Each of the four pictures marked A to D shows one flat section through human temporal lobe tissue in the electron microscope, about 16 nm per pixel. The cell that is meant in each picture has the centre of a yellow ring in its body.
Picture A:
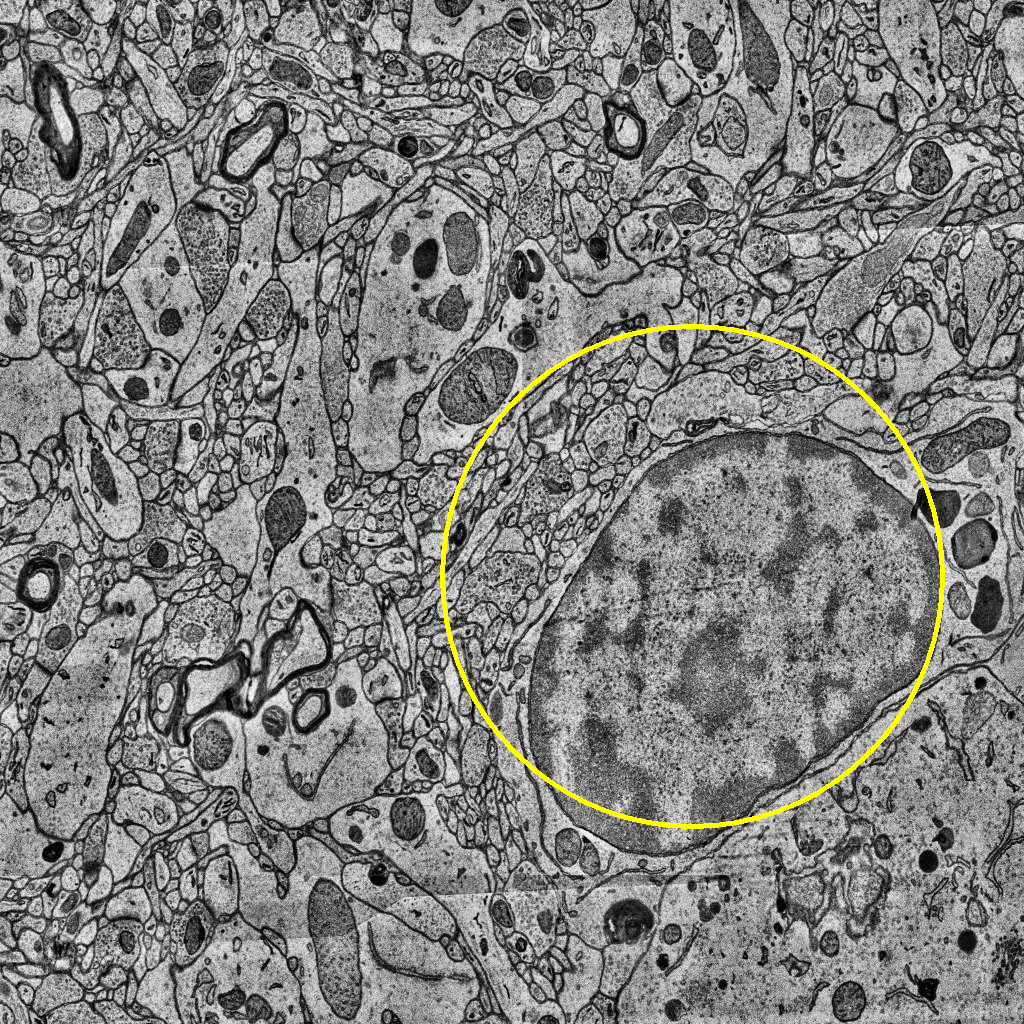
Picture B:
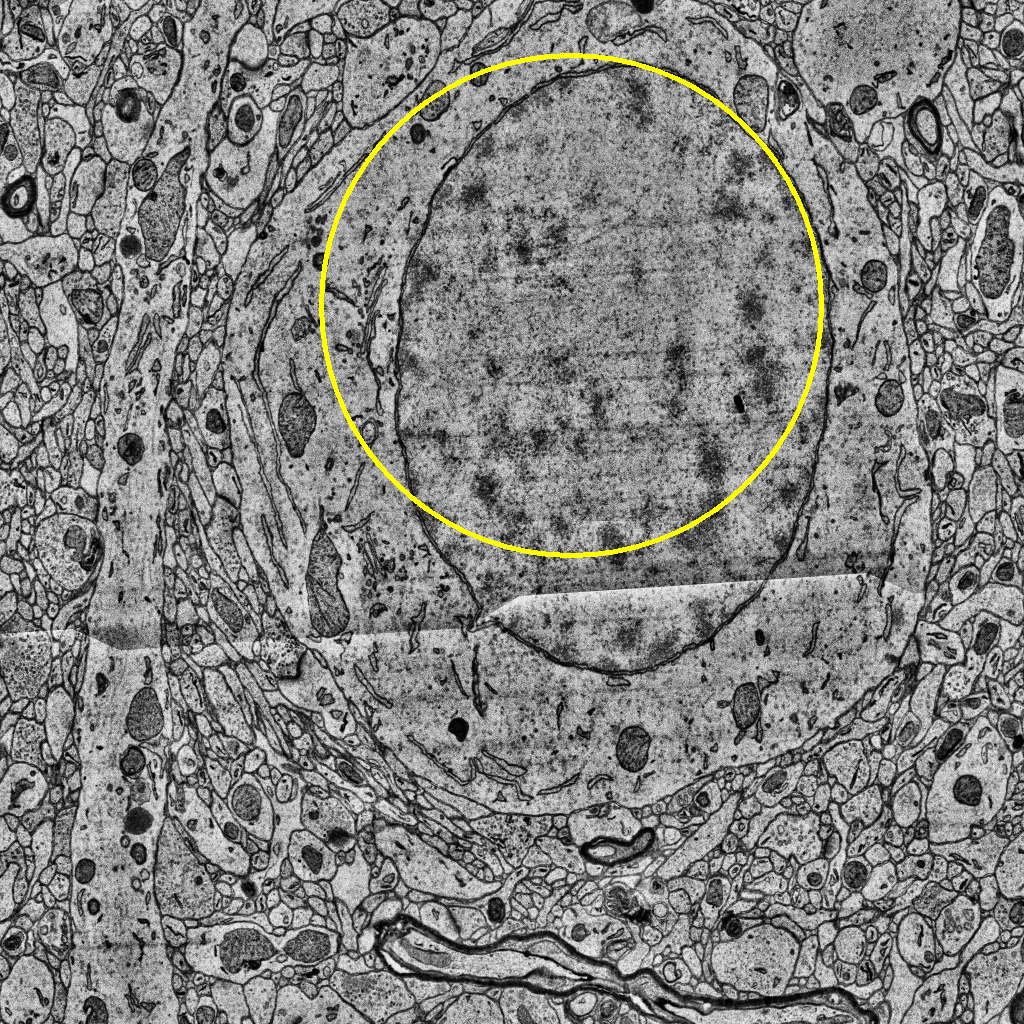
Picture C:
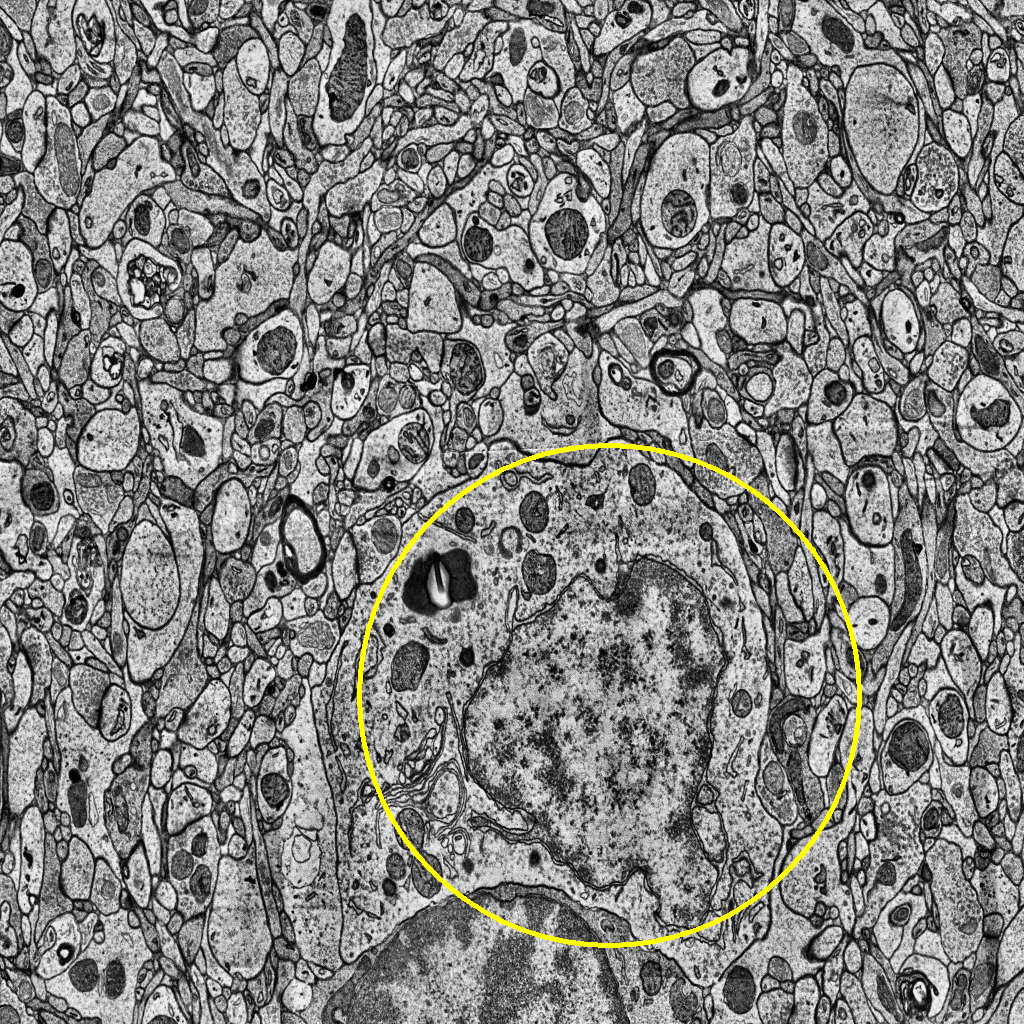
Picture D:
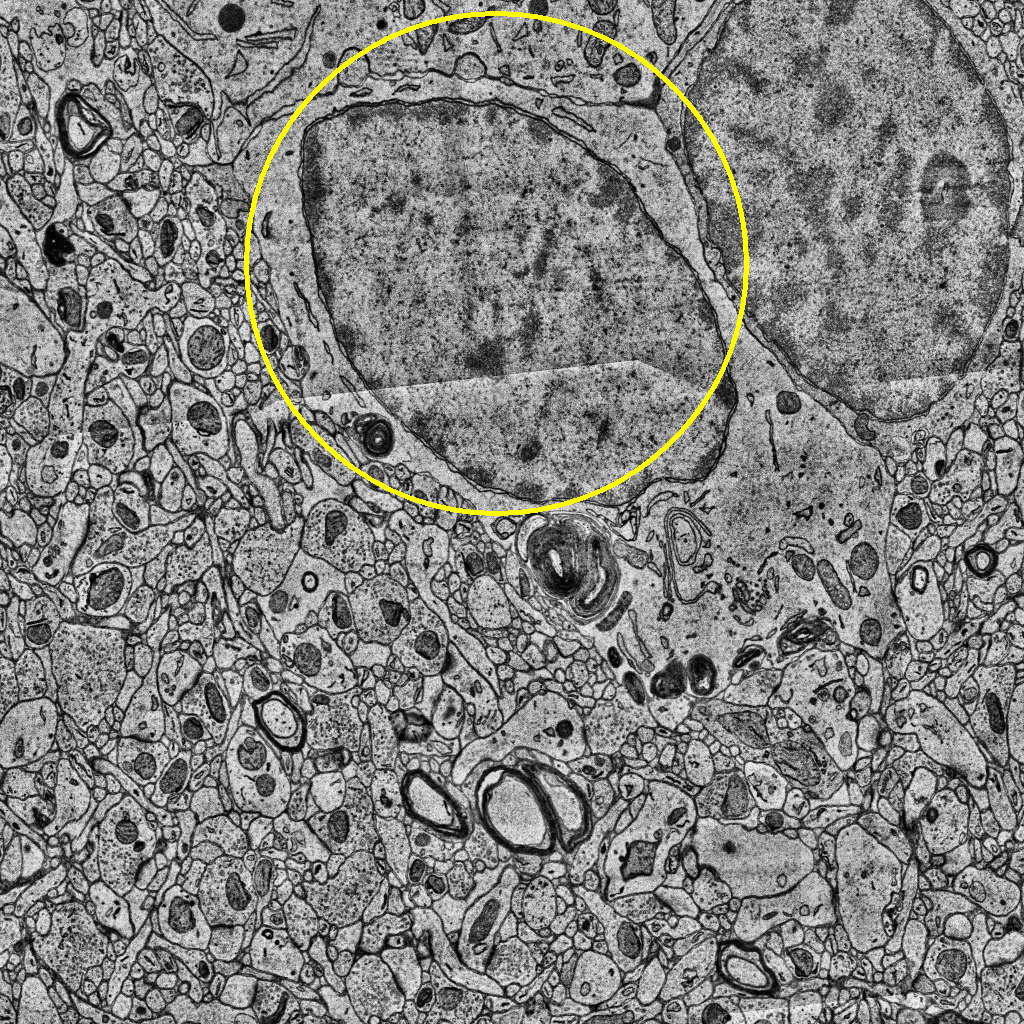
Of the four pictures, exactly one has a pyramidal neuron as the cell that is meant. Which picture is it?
Picture B shows the pyramidal neuron.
